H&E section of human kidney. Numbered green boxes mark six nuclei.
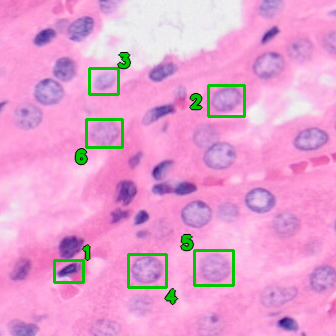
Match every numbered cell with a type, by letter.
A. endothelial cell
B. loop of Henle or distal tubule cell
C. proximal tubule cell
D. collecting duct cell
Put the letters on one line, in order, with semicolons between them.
A; C; B; C; C; C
